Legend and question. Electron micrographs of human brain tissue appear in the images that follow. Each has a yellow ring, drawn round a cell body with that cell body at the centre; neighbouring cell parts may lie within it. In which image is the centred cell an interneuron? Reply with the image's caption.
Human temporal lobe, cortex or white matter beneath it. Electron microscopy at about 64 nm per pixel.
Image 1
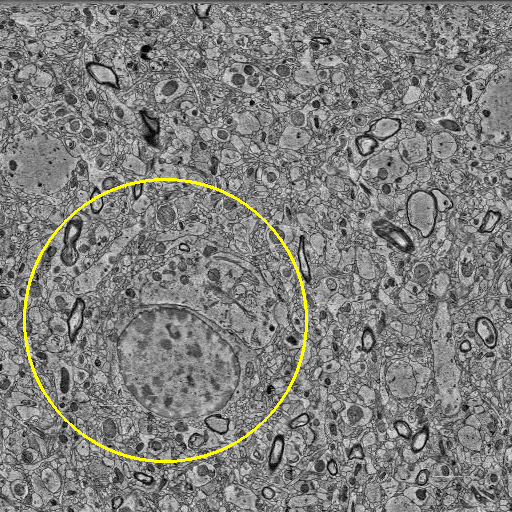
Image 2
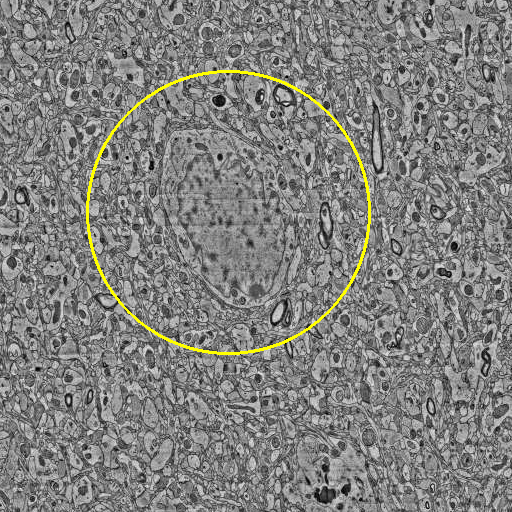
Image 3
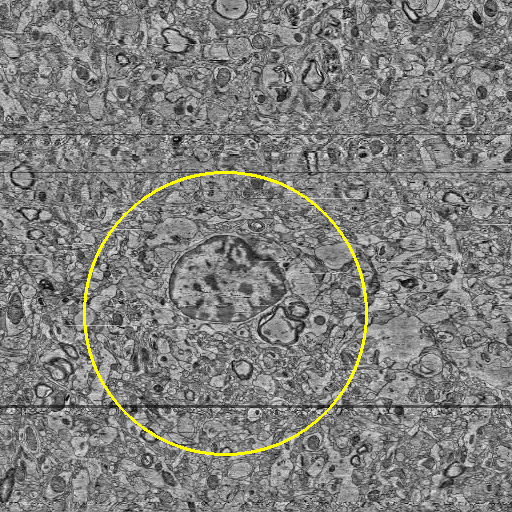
Image 2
